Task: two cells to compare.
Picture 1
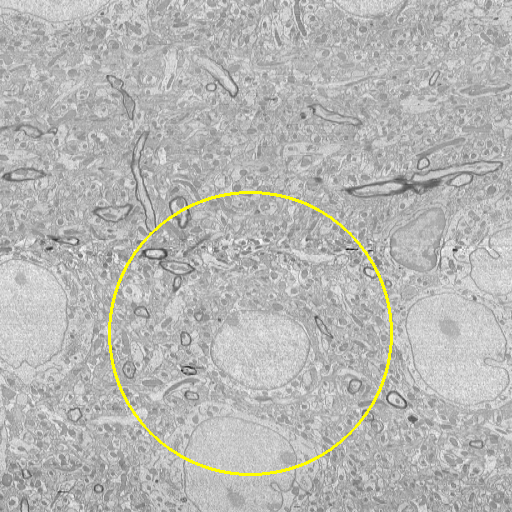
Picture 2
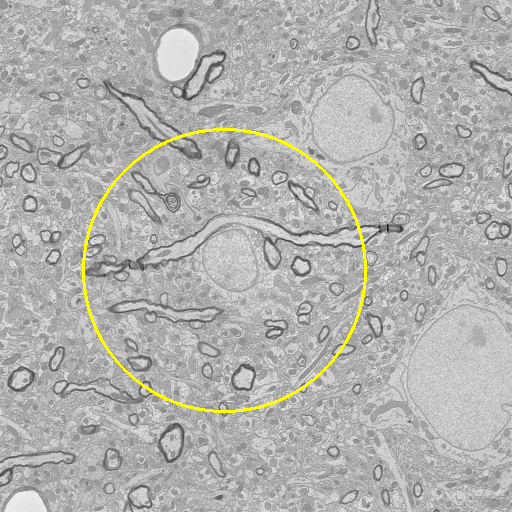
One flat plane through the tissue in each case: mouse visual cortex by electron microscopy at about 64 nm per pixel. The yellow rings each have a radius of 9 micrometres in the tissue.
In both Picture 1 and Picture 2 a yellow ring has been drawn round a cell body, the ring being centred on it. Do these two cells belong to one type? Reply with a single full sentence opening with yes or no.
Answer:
Yes, the two cells at the ring centres in Picture 1 and Picture 2 share one type.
